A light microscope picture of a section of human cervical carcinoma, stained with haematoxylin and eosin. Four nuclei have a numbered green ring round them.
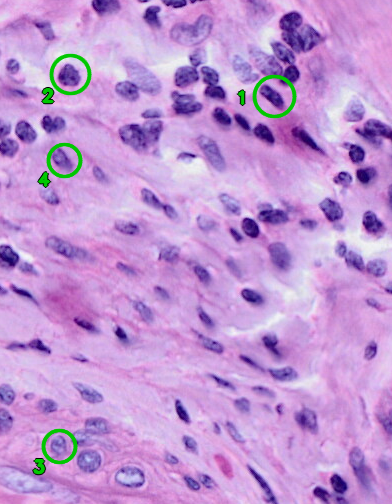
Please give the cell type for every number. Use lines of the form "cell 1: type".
cell 1: lymphocyte
cell 2: lymphocyte
cell 3: smooth muscle cell
cell 4: smooth muscle cell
